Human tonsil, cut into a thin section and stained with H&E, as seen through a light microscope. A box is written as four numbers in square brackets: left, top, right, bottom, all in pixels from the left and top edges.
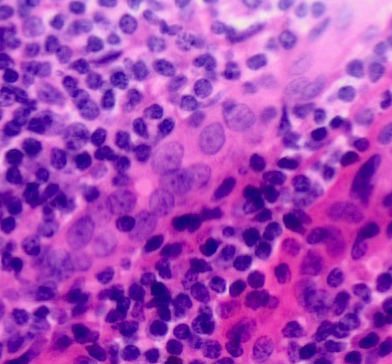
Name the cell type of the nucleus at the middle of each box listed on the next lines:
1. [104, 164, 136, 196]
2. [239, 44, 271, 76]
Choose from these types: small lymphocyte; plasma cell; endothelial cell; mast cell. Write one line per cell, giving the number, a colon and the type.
1: endothelial cell
2: small lymphocyte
